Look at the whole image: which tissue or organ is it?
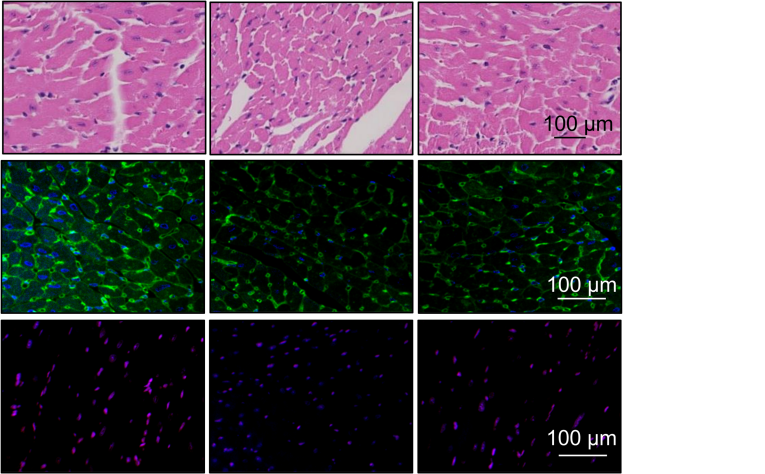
Myocardium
